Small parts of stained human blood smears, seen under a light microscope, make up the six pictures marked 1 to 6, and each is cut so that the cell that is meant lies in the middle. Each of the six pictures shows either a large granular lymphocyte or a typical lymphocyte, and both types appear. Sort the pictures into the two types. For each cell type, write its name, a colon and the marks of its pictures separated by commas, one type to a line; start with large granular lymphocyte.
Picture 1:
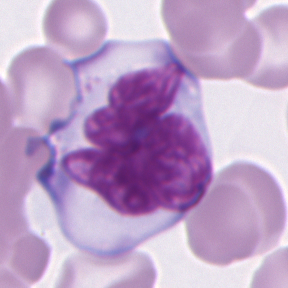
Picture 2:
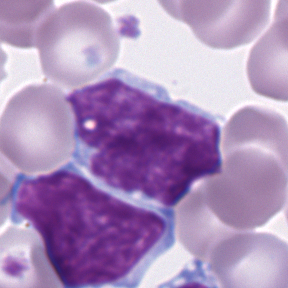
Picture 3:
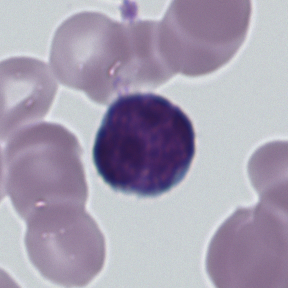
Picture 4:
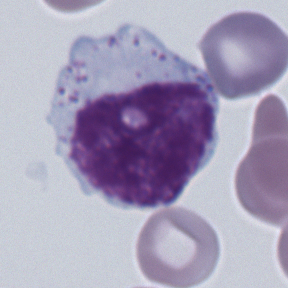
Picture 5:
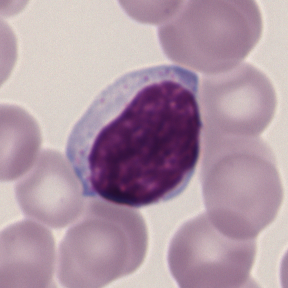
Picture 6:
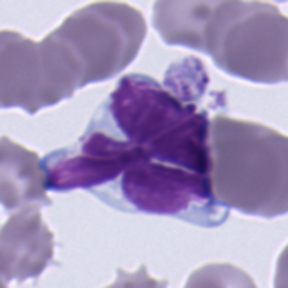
large granular lymphocyte: 1, 4, 5, 6
typical lymphocyte: 2, 3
